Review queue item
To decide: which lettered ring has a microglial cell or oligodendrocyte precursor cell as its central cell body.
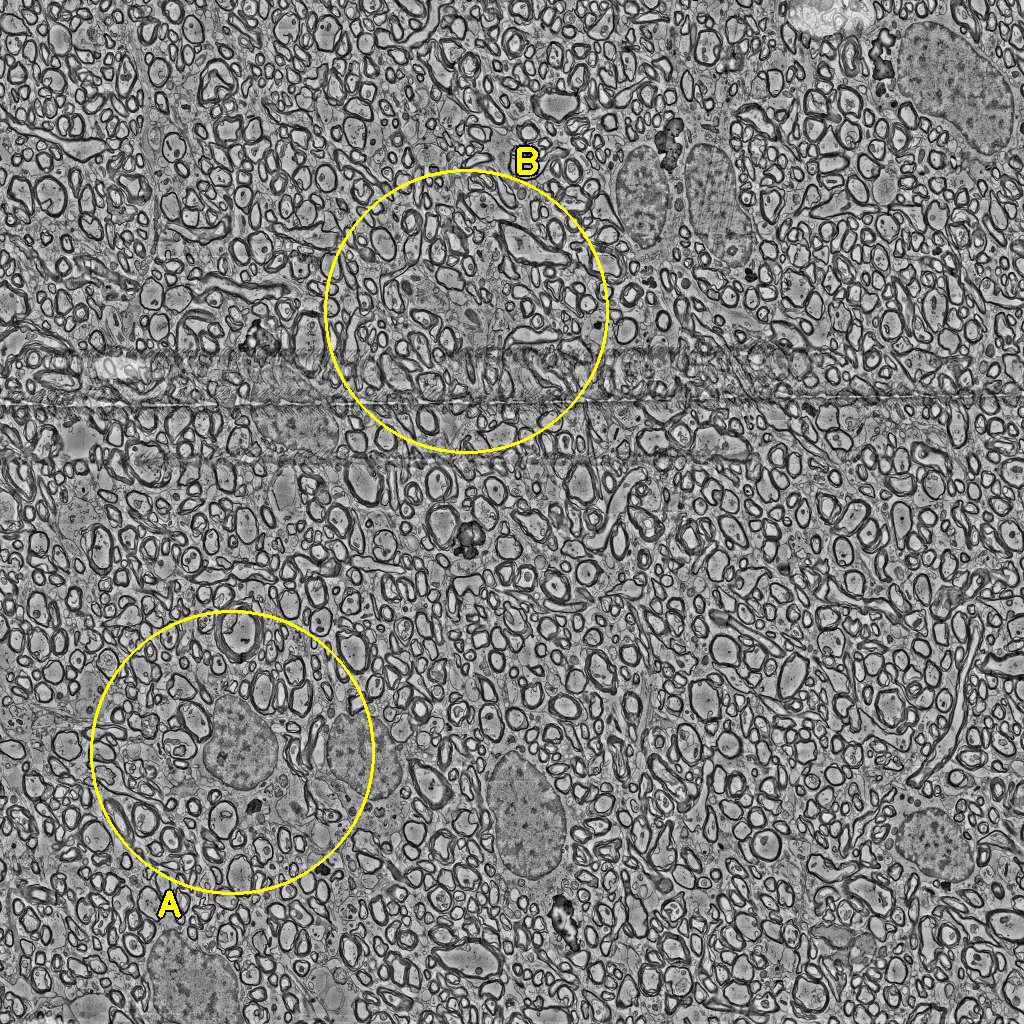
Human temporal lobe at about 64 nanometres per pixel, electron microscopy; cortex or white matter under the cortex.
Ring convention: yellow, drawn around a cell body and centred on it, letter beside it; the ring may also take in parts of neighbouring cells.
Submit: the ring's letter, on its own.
B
